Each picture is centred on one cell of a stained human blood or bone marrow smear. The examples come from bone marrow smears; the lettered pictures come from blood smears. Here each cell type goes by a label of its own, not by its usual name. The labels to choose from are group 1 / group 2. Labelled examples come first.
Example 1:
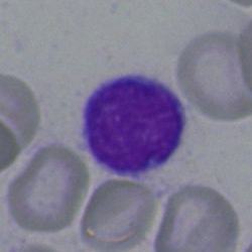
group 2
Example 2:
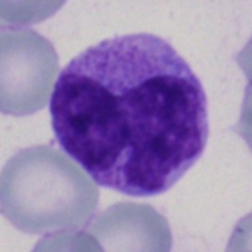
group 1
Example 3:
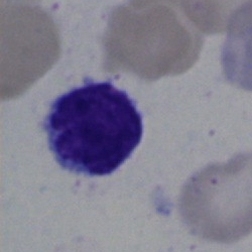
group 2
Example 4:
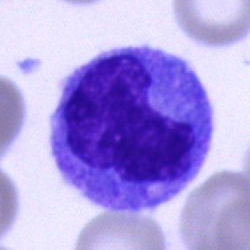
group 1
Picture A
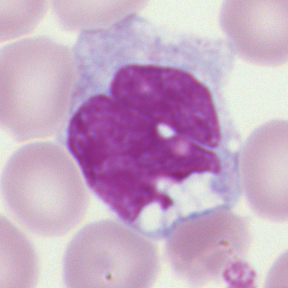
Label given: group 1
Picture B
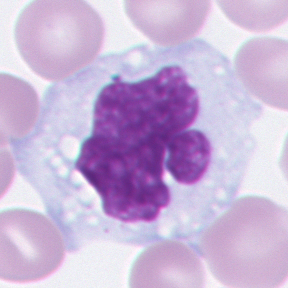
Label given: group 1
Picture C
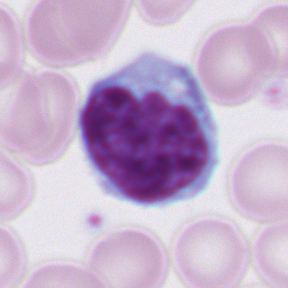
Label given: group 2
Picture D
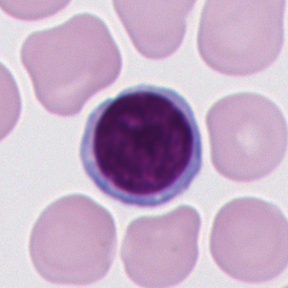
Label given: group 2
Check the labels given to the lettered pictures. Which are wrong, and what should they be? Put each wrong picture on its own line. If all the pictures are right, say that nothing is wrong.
All labels are correct.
